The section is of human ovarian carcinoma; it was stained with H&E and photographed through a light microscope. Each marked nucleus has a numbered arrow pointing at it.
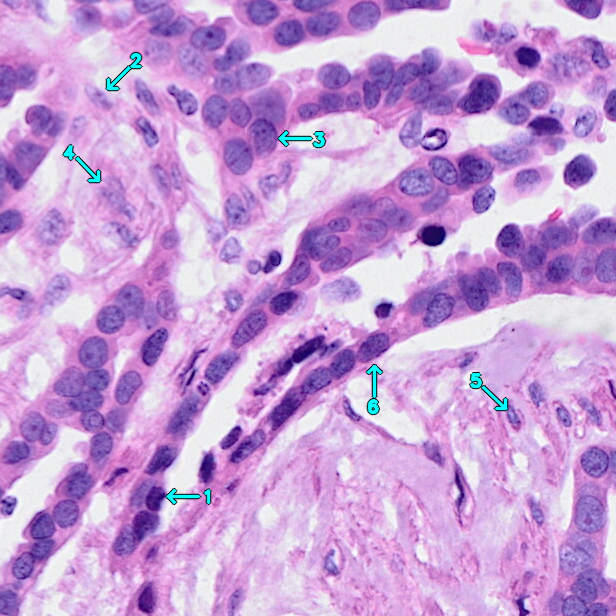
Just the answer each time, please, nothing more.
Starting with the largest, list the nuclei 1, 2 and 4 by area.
1, 4, 2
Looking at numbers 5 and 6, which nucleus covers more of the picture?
6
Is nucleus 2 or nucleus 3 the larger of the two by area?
3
